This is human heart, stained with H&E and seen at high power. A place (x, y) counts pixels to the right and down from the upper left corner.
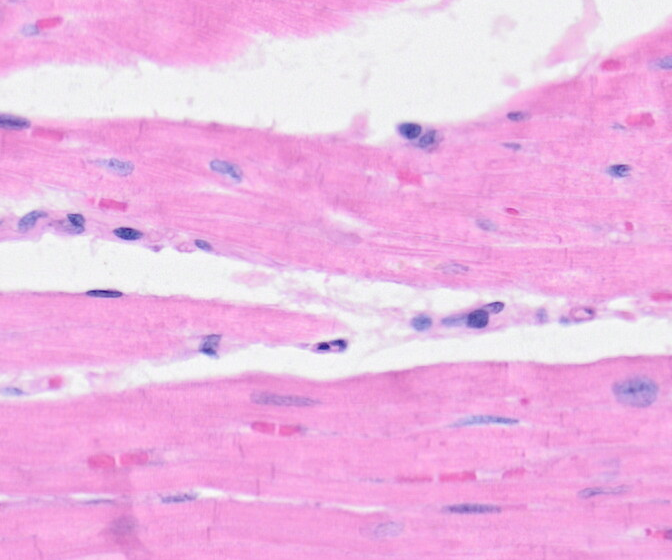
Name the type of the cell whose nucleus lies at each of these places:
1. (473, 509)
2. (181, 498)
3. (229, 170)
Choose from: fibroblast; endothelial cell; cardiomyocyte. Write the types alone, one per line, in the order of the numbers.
endothelial cell
fibroblast
cardiomyocyte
